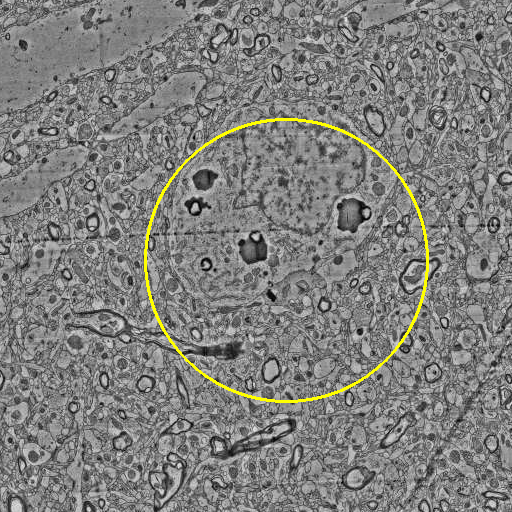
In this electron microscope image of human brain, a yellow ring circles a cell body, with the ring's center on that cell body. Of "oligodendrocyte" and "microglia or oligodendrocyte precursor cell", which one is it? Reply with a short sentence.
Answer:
It is an oligodendrocyte at the center of the ring.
